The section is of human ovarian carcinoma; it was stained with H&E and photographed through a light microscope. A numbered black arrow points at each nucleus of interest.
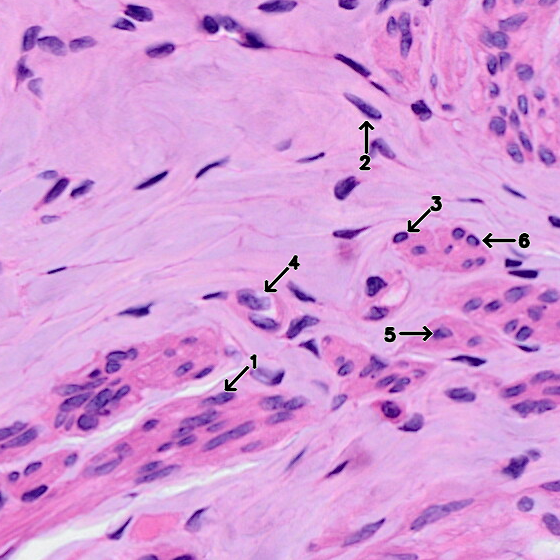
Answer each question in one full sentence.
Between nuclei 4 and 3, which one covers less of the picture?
With nucleus 4 about 4 times its size, nucleus 3 is the smaller of the two.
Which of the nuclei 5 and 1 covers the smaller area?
Number 5 is smaller, since number 1 takes up about 2 times as much area.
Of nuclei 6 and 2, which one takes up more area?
Of the two, number 2 is bigger and takes up about 3 times the area of number 6.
